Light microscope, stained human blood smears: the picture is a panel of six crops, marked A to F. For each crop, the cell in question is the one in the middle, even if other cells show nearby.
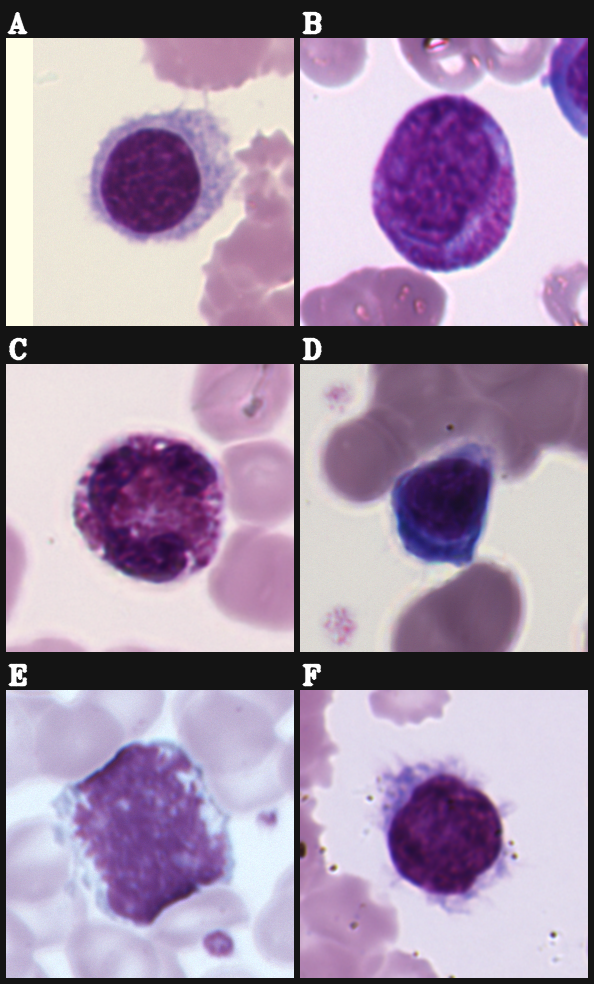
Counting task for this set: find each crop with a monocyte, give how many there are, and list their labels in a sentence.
Only in crop E does a monocyte occupy the centre.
